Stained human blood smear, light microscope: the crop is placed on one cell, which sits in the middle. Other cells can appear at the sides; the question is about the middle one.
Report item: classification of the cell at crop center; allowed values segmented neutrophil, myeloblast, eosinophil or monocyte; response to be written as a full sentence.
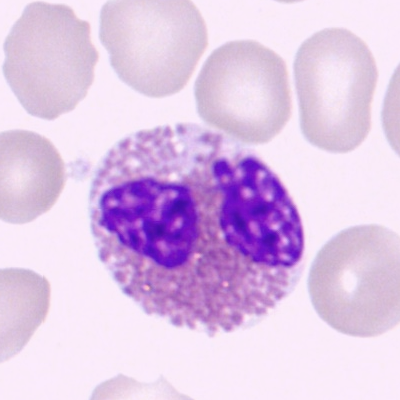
Seen at the centre of the crop is an eosinophil.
